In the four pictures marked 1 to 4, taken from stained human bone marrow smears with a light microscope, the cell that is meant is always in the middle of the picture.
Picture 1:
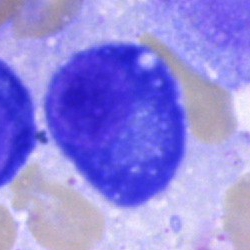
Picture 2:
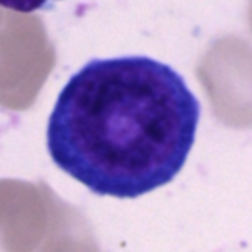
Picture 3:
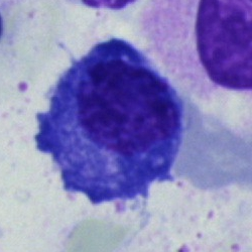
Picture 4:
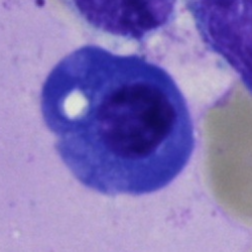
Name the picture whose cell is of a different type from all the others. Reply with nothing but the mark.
2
